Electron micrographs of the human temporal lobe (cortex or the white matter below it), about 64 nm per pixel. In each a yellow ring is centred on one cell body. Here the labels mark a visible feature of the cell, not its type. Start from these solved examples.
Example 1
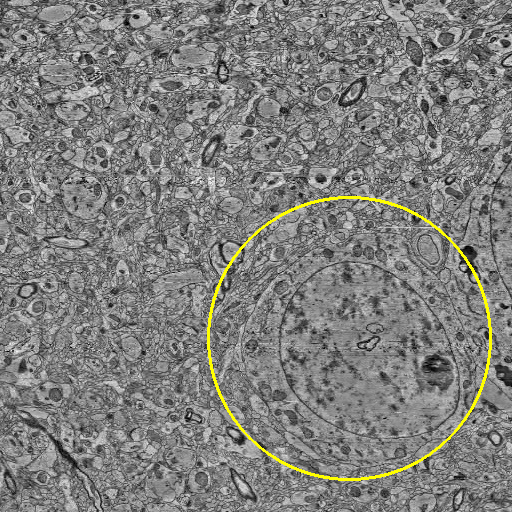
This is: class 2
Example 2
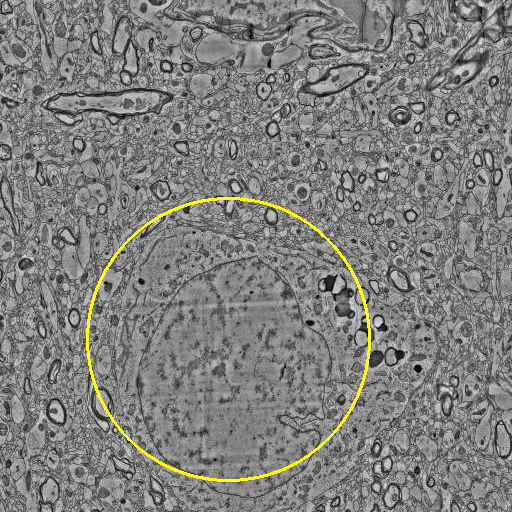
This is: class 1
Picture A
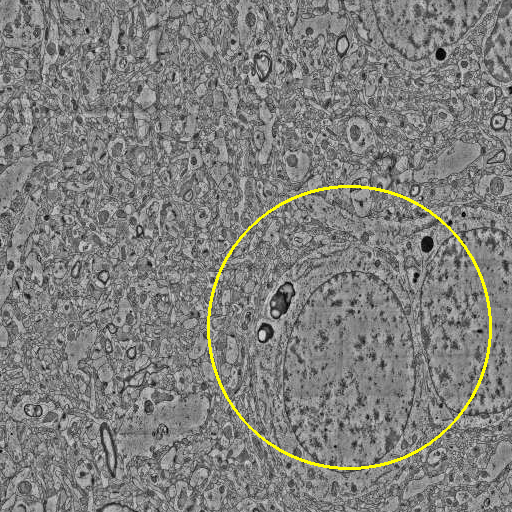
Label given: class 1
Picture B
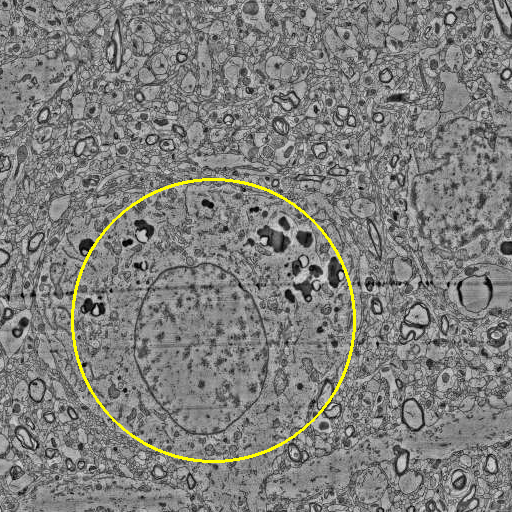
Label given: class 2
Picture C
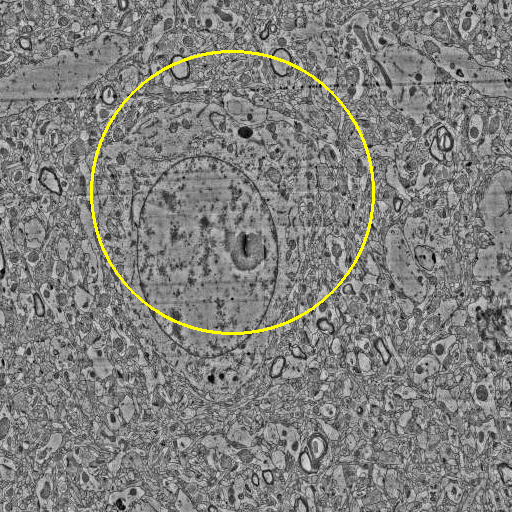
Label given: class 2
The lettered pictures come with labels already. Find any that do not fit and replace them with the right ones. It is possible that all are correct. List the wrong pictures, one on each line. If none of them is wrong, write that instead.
B: change class 2 to class 1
